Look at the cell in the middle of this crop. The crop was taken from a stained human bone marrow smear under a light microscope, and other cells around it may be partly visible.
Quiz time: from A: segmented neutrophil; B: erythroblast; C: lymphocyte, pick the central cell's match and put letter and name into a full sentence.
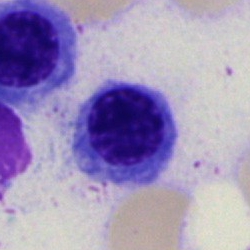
The cell in the center of this crop is an erythroblast, so option B is the one to pick.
